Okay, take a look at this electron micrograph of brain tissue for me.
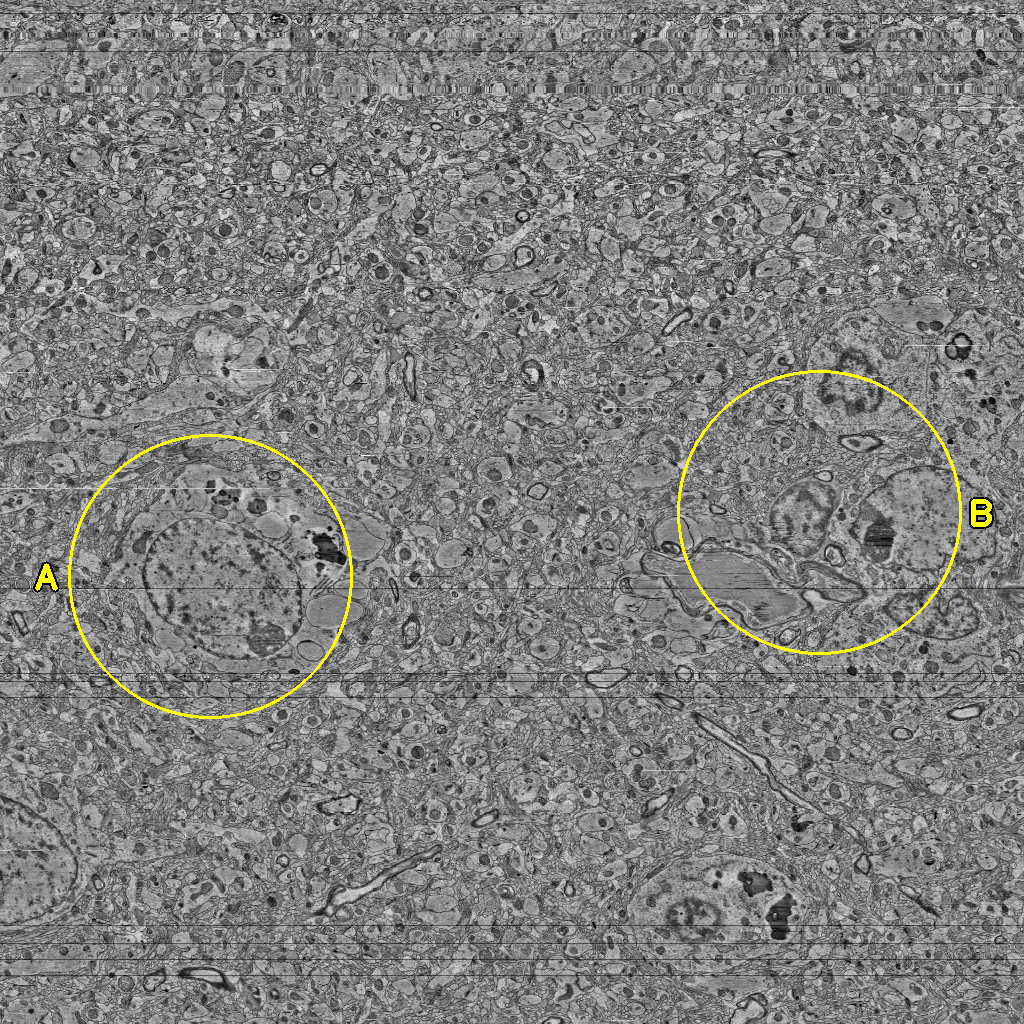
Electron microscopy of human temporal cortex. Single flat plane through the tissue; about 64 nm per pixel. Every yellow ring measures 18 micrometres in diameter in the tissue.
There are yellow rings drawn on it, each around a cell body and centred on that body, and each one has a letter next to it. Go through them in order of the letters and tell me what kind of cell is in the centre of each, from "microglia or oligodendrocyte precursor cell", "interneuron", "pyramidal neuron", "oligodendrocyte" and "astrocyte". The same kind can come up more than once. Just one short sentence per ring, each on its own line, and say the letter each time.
In the centre of ring A there's an astrocyte.
In the centre of ring B there's an oligodendrocyte.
